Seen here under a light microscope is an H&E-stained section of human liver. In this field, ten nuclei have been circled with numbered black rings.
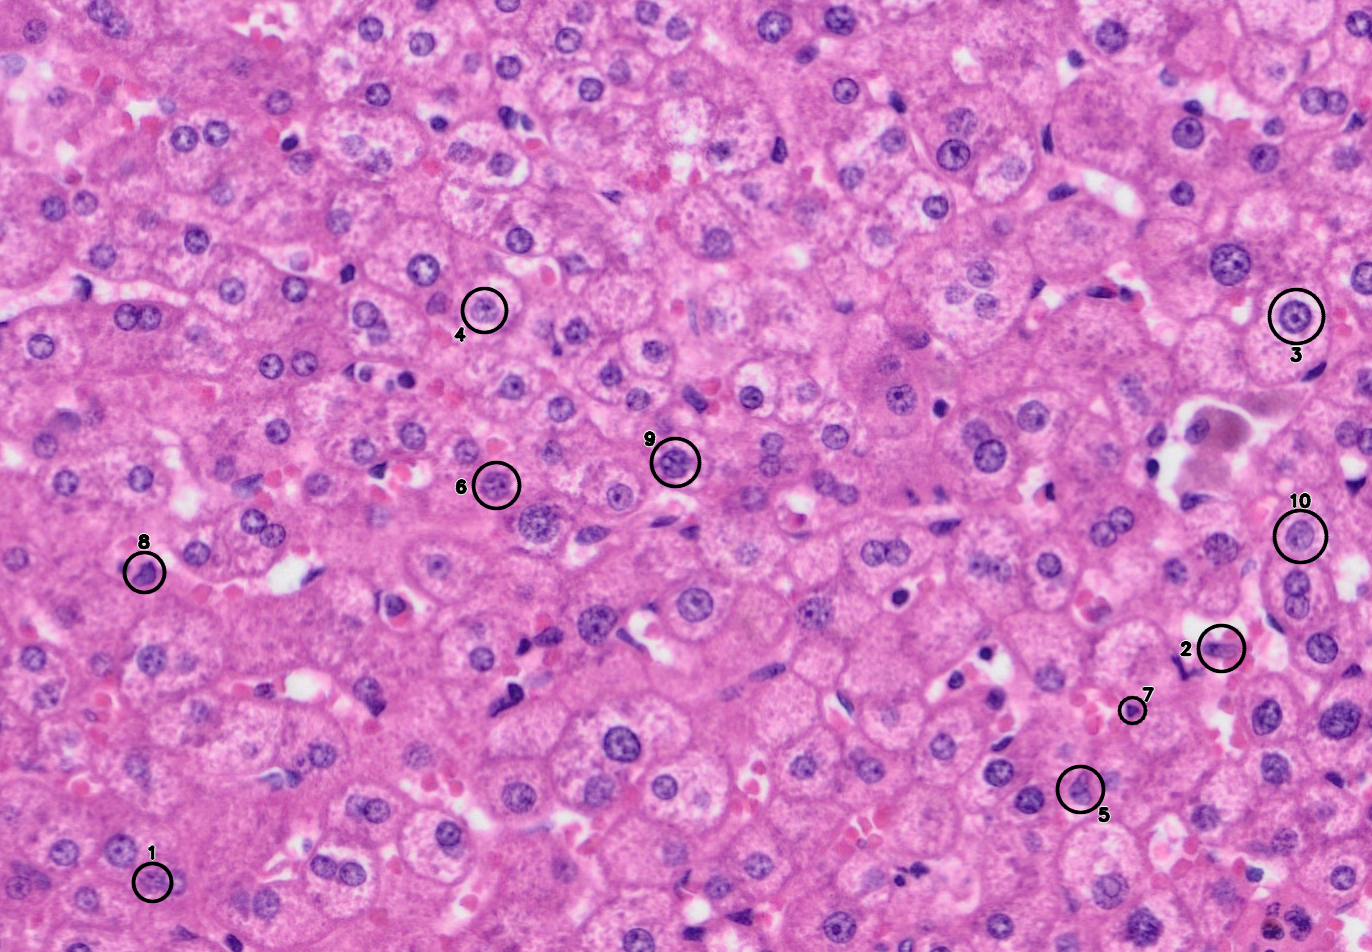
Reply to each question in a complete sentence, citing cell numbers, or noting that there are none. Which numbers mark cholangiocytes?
Across all the numbered cells, cholangiocytes are absent.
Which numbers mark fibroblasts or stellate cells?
Among the marked cells, a fibroblast or stellate cell is found only at number 7.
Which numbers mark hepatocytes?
Marked by the numbers 1, 3, 4, 6, 9 and 10 are cells that are hepatocytes.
